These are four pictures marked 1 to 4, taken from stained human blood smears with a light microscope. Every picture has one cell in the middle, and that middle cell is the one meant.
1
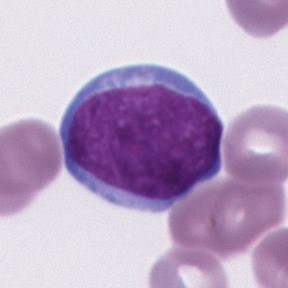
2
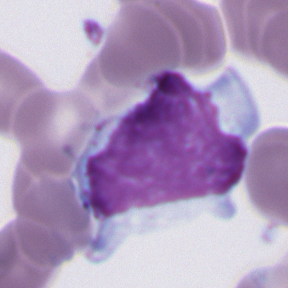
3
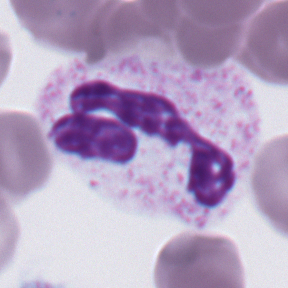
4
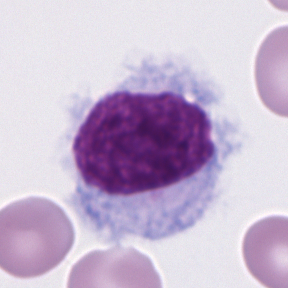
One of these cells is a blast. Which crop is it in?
1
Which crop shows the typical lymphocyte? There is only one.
2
